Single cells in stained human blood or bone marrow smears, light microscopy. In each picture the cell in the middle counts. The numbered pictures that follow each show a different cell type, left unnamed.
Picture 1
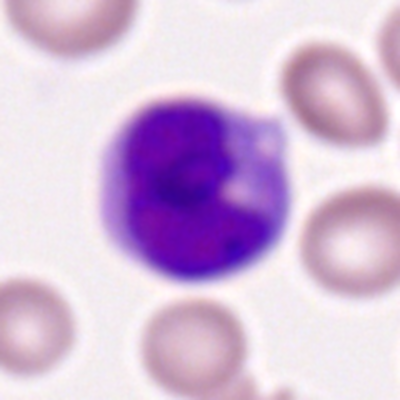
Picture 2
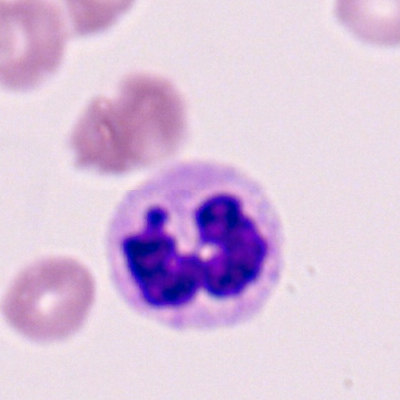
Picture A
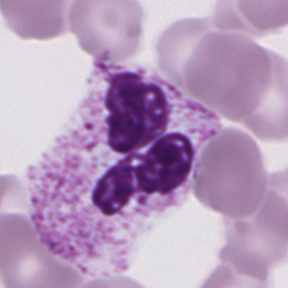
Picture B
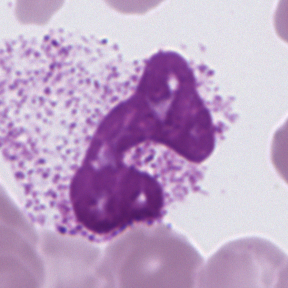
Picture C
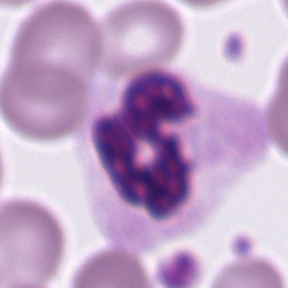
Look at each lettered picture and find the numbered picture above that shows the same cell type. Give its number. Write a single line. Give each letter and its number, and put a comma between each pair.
A 2, B 2, C 2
